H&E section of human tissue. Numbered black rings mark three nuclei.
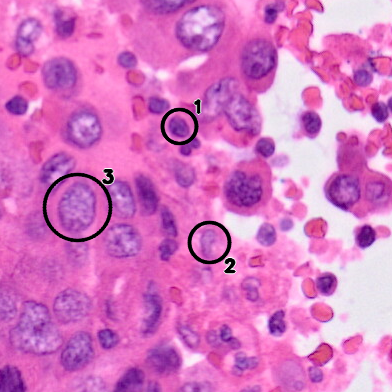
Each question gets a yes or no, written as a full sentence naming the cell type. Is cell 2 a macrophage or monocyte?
Yes, the cell referred to as number 2 is a macrophage or monocyte.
